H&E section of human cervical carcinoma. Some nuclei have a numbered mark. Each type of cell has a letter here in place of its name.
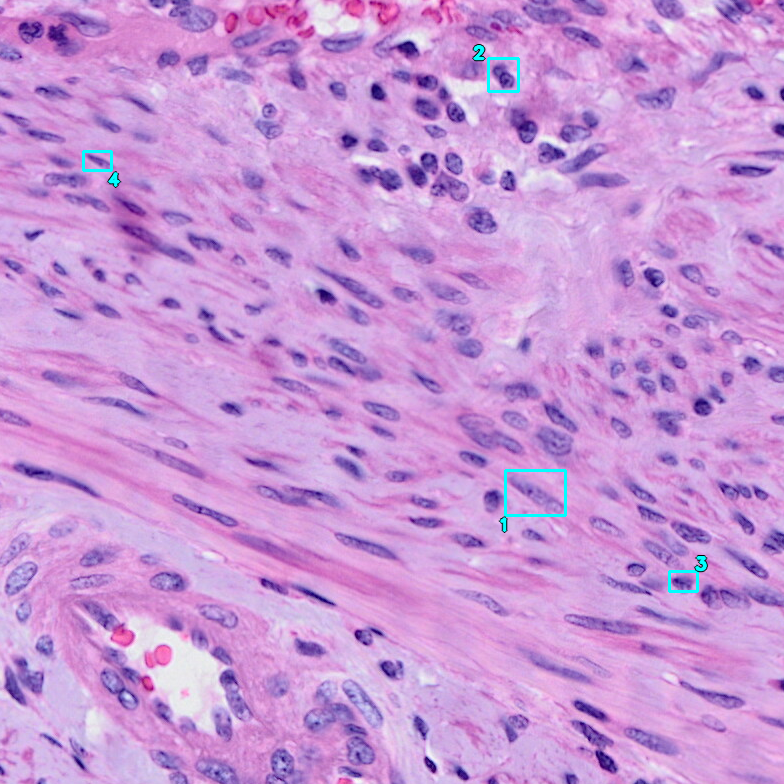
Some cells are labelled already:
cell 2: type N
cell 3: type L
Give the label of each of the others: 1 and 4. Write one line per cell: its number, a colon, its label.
1: type L
4: type L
